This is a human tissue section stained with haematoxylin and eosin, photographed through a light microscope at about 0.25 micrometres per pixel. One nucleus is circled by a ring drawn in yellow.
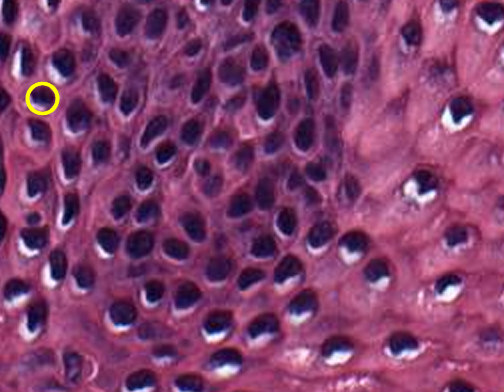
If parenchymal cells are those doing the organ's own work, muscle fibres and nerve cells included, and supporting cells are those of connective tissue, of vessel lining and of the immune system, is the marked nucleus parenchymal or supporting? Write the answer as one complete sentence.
The cell to which the marked nucleus belongs is a squamous epithelial cell, a parenchymal cell.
